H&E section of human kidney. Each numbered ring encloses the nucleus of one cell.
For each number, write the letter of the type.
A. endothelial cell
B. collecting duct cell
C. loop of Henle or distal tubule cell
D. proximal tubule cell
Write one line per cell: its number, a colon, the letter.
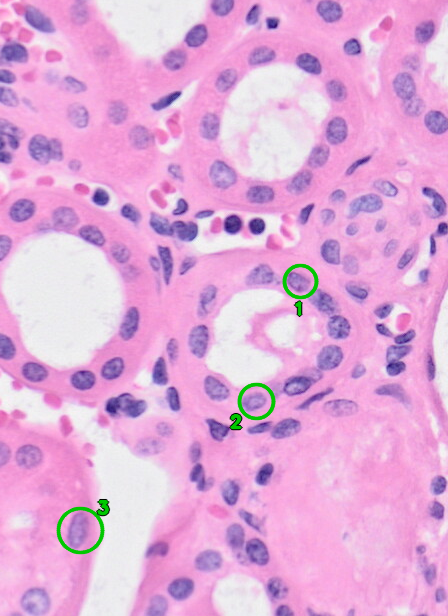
1: B
2: B
3: D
